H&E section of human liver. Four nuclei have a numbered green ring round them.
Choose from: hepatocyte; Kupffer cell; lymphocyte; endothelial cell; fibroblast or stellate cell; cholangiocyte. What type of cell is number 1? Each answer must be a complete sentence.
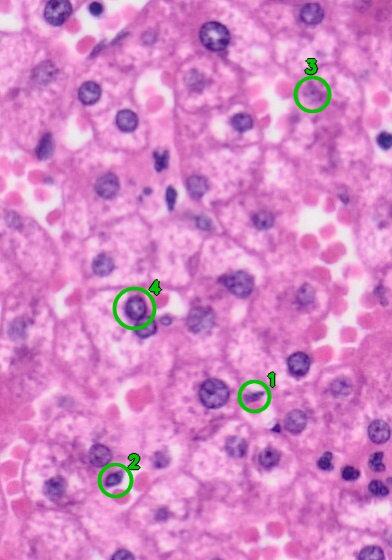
The cell referenced by the number 1 is an endothelial cell in this field.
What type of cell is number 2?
The cell carrying label 2 is identified as a lymphocyte.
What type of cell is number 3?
The label 3 in this section denotes a hepatocyte.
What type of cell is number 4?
Number 4 is placed on a hepatocyte here.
